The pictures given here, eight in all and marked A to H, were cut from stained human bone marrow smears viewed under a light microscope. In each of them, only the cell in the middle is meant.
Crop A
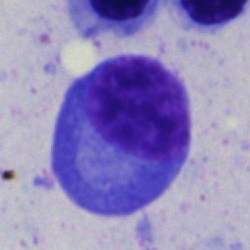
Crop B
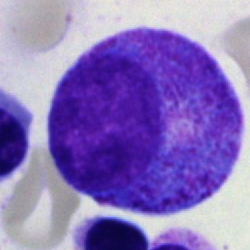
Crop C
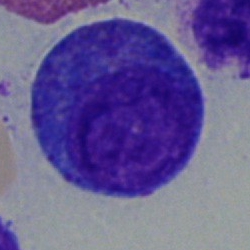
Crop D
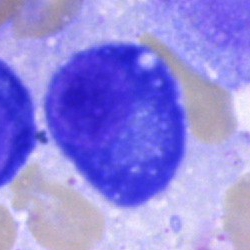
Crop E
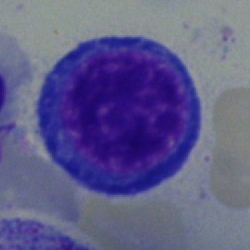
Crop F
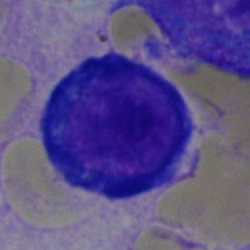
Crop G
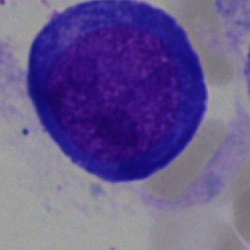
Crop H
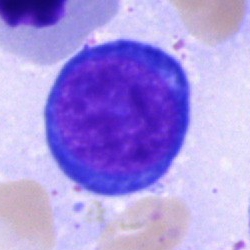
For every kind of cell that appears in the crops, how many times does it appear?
proerythroblast: 4
plasma cell: 2
promyelocyte: 2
